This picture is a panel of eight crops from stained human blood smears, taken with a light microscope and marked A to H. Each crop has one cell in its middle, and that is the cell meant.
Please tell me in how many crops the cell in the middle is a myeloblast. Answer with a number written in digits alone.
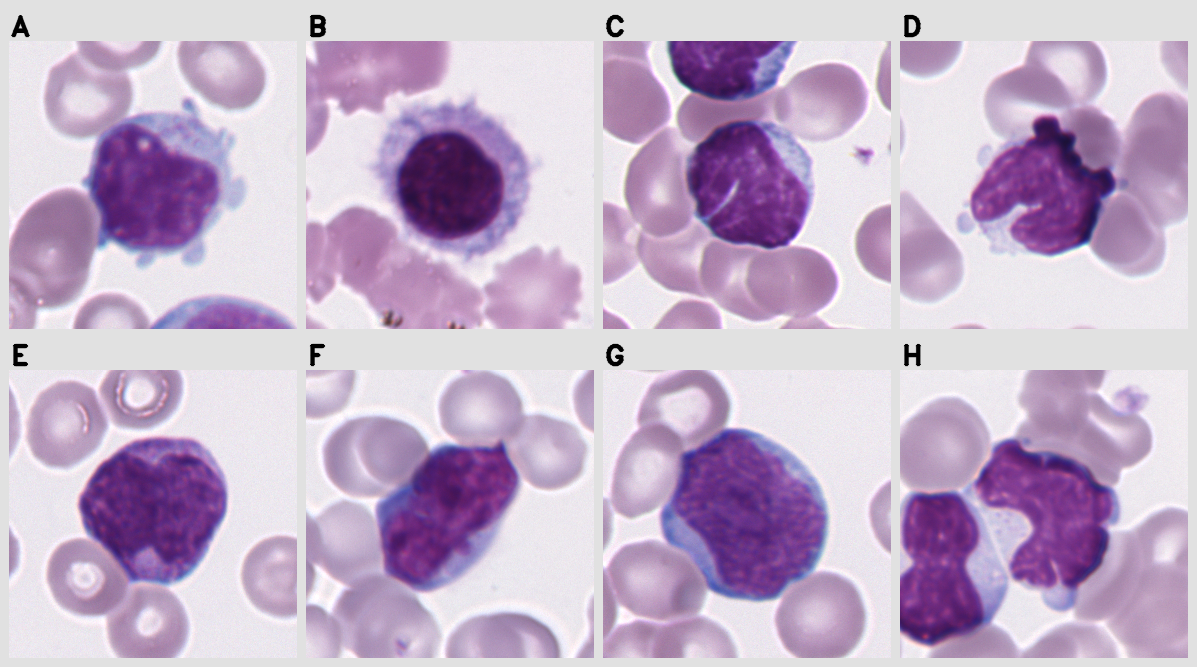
2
